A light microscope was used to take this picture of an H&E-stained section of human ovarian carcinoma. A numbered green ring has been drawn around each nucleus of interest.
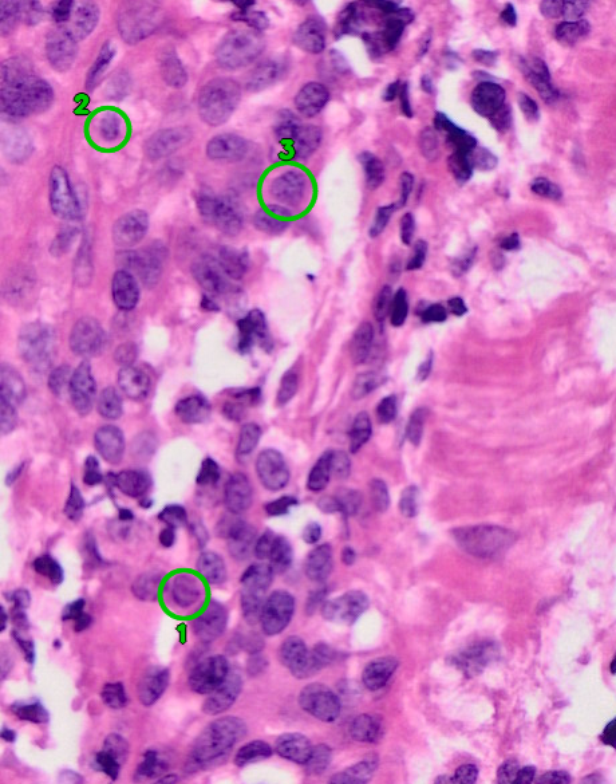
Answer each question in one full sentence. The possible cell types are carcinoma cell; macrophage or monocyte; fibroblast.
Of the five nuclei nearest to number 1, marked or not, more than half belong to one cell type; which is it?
Macrophages or monocytes account for more than half of the five nuclei nearest to number 1.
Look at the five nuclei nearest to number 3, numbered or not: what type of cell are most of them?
Around number 3, most of the five nearest nuclei are those of carcinoma cells.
